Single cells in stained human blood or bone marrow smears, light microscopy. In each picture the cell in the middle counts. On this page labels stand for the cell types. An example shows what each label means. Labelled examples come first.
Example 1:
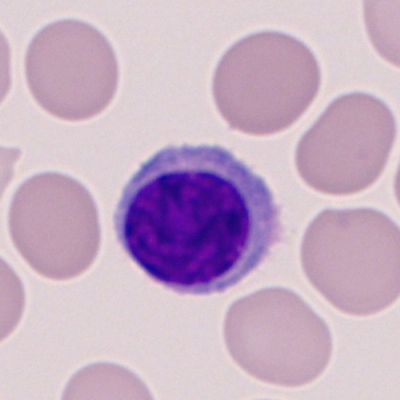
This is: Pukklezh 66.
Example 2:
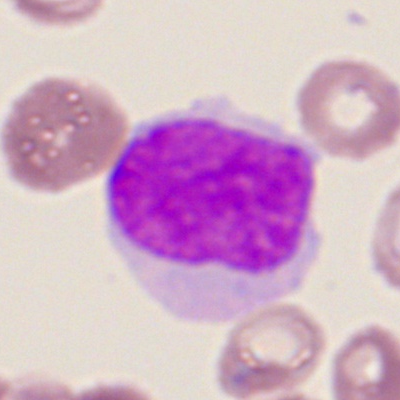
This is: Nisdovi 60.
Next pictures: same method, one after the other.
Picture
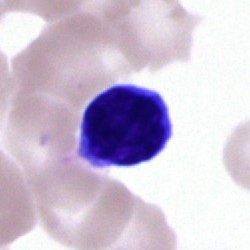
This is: Pukklezh 66.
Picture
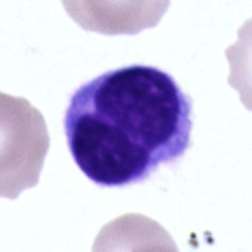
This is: Pukklezh 66.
